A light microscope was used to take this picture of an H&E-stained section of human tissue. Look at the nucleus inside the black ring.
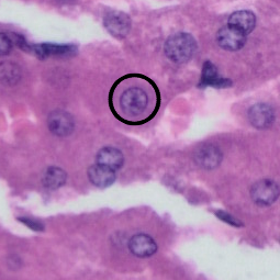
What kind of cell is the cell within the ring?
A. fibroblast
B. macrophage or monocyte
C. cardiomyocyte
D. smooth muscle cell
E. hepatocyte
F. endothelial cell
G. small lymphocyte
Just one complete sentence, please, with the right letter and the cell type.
Option E is accurate, for the cell within the ring is a hepatocyte.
